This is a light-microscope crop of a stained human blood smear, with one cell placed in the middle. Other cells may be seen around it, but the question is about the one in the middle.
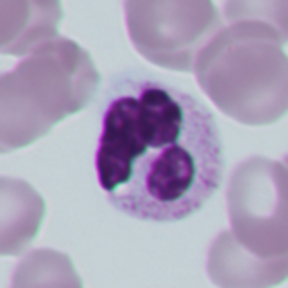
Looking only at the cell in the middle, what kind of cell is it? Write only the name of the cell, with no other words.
neutrophil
